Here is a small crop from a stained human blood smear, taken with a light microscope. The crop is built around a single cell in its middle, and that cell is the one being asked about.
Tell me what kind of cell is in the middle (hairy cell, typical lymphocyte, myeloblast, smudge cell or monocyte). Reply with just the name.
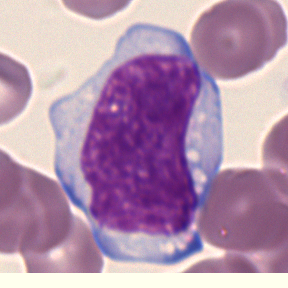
myeloblast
